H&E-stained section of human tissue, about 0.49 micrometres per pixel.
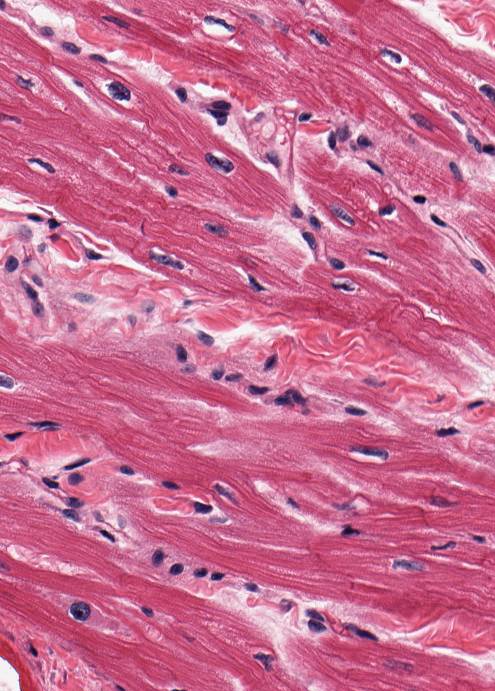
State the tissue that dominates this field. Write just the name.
myocardium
